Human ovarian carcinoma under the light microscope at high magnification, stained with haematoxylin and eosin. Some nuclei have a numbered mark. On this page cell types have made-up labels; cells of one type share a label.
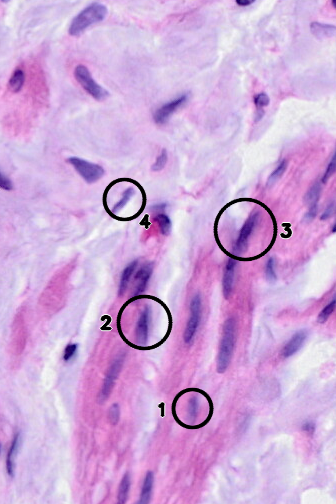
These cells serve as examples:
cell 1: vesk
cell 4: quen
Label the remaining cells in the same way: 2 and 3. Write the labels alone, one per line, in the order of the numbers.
vesk
vesk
